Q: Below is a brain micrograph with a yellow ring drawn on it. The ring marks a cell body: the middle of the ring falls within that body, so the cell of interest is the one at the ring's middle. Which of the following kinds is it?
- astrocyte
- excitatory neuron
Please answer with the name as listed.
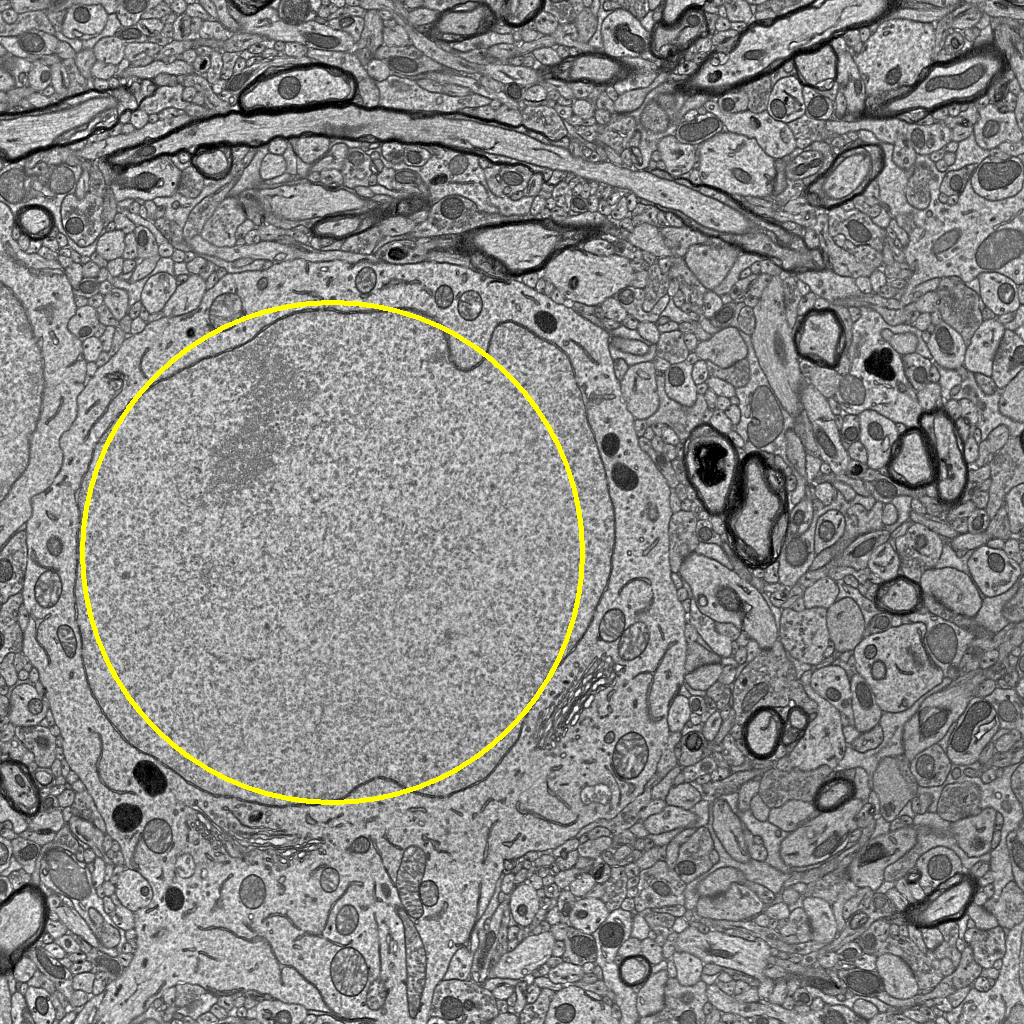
excitatory neuron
